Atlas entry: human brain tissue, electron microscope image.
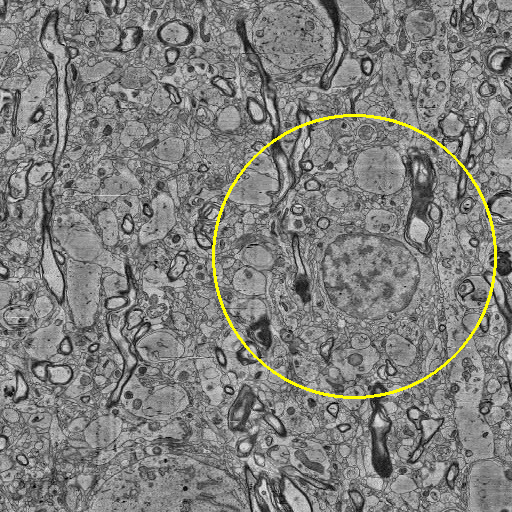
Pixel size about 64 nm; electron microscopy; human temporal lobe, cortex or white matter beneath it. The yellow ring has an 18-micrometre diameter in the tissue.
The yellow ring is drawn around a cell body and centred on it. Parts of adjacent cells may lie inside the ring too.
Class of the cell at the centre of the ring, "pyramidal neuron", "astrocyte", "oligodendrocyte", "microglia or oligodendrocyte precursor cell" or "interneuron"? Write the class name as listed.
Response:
oligodendrocyte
